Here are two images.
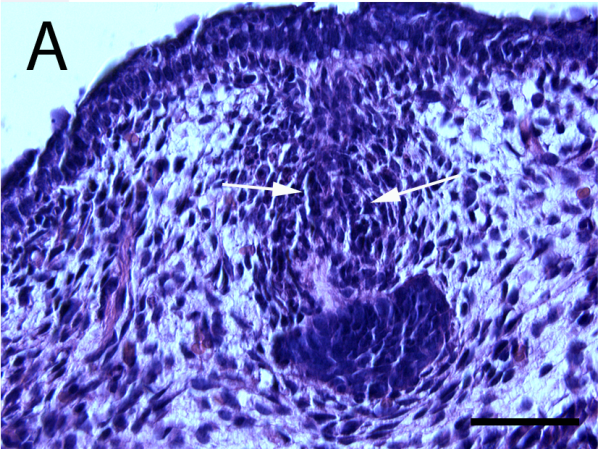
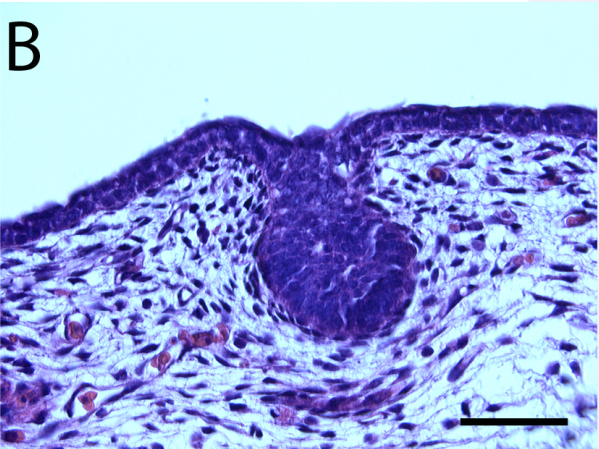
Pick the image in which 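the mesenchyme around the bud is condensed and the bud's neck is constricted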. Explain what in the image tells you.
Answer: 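Second image: a smooth, rounded epithelial bud with a broad neck sits in loose mesenchyme. First image: densely packed cells surround a narrowed epithelial stalk above a distorted, irregular bud.
Hence: the first image.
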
